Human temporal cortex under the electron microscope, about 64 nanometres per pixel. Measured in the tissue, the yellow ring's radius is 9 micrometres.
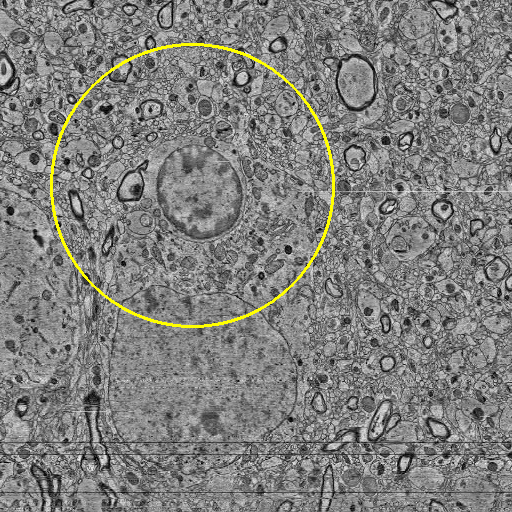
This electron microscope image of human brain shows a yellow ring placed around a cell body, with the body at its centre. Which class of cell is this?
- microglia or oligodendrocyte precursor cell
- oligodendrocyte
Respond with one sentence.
The cell body at the ring's centre is an oligodendrocyte.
